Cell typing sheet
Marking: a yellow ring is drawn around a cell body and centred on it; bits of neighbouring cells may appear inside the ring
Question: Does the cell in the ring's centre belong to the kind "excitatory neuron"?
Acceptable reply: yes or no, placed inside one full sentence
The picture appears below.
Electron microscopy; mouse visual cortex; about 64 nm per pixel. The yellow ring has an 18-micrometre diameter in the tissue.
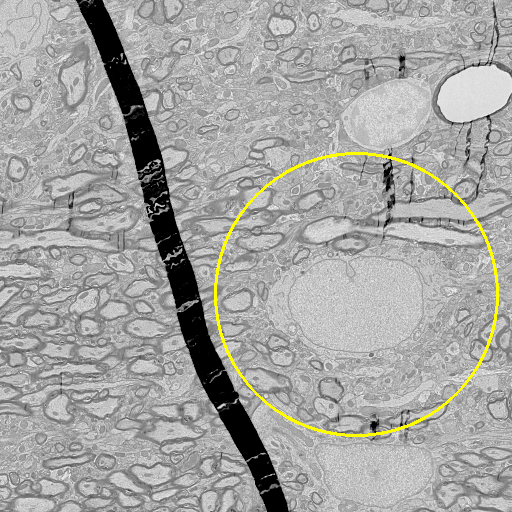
Yes, the cell in the centre of the ring is of the kind asked about.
